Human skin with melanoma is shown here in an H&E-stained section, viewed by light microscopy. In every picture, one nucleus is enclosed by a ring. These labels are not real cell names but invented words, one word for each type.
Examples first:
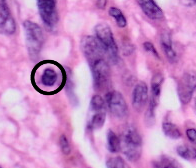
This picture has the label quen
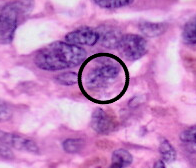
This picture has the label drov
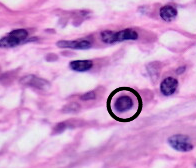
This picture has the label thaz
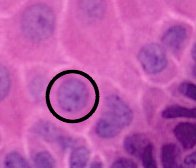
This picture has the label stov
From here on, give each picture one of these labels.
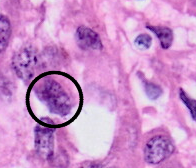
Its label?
drov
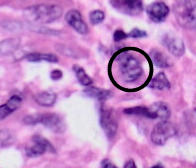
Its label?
drov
